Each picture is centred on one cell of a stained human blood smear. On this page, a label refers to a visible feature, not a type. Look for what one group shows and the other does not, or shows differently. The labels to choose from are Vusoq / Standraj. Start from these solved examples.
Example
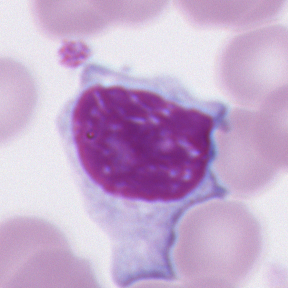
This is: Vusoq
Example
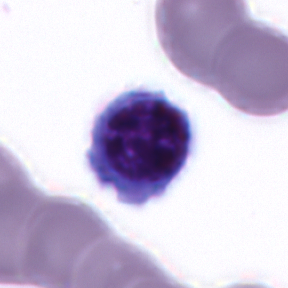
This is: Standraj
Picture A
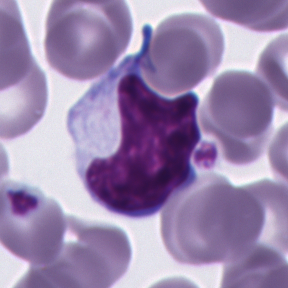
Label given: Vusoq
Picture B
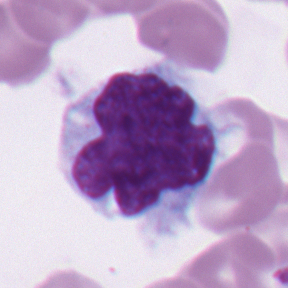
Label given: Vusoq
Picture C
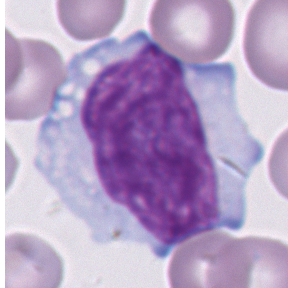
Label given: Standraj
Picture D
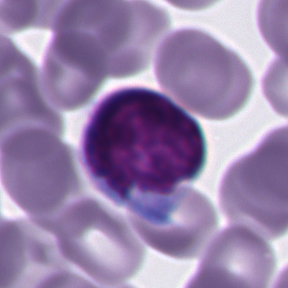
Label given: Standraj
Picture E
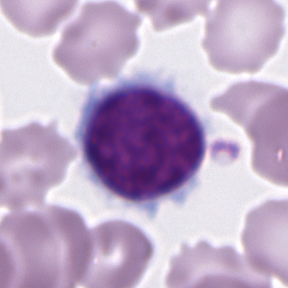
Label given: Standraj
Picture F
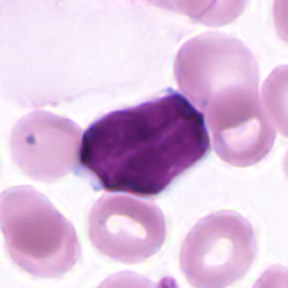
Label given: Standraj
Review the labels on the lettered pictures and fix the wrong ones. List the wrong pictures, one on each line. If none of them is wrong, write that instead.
B: not Vusoq but Standraj
C: not Standraj but Vusoq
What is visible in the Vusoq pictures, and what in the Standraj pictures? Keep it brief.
In Vusoq: abundant cytoplasm. In Standraj: scant cytoplasm.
